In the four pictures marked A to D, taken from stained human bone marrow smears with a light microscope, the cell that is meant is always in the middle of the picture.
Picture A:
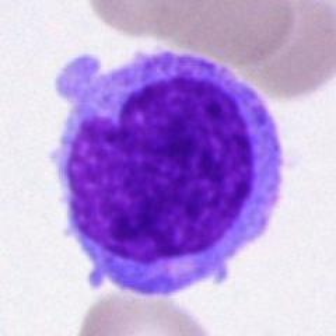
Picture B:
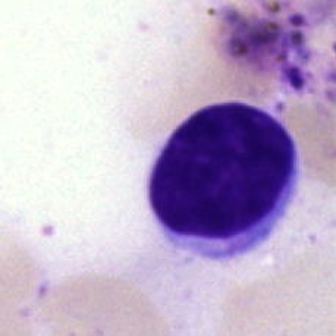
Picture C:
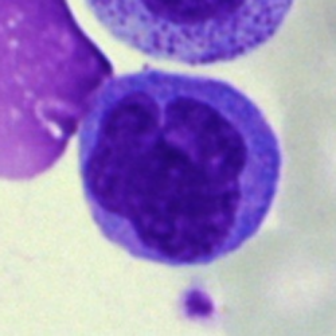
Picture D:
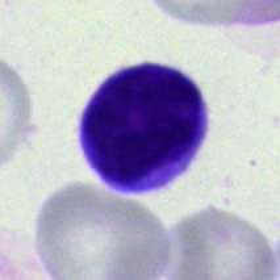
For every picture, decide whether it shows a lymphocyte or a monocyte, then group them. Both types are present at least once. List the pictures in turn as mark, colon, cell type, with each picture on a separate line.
A: monocyte
B: lymphocyte
C: monocyte
D: lymphocyte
